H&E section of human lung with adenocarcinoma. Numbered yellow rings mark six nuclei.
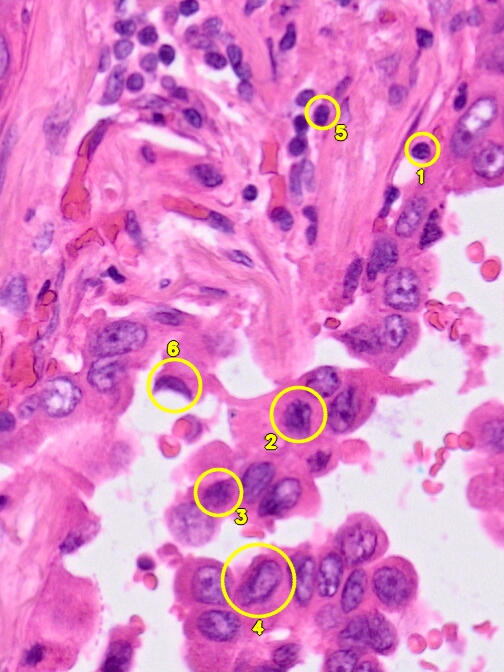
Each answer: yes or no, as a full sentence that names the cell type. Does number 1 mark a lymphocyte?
Yes, the cell denoted by 1 is a lymphocyte.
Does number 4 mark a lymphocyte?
No, the cell indicated by 4 is a carcinoma cell instead of a lymphocyte.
